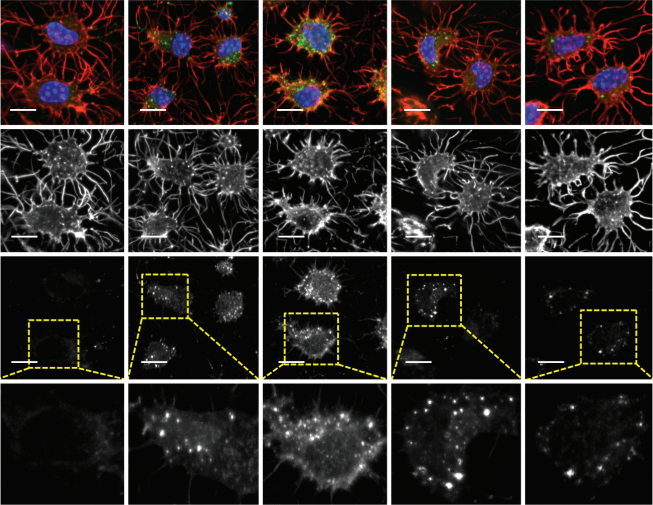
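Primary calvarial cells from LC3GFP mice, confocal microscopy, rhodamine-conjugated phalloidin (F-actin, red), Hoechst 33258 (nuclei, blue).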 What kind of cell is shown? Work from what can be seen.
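Cells have compact bodies with many long, thin processes radiating outward. Processes branch and reach toward neighbouring cells. Each cell has a single oval blue nucleus. The answer: osteocytes.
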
